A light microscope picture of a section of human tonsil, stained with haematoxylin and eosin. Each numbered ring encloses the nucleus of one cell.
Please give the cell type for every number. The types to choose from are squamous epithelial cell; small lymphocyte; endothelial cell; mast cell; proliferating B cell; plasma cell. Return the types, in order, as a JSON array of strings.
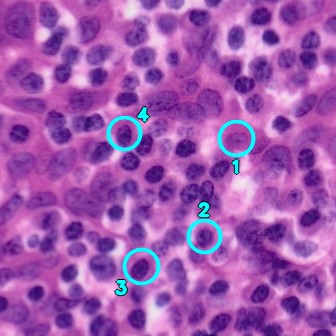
["squamous epithelial cell", "plasma cell", "plasma cell", "plasma cell"]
